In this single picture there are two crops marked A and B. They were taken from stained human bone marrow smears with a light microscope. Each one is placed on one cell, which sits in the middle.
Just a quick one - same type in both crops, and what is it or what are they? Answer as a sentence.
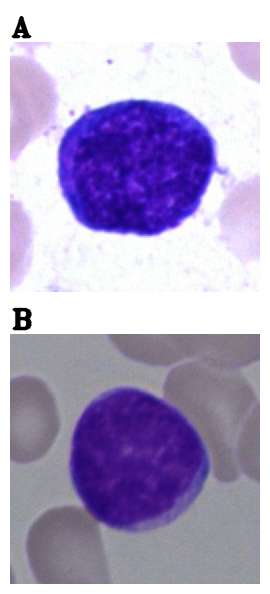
No, crop A matches a promyelocyte and crop B matches a blast.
